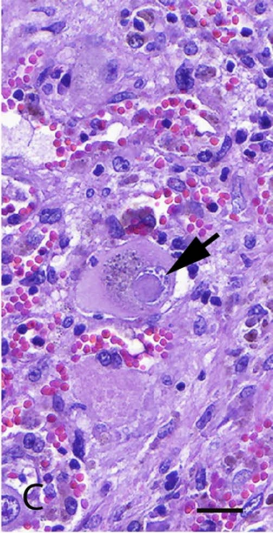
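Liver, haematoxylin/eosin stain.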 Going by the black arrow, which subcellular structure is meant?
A: nuclear pseudoinclusion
